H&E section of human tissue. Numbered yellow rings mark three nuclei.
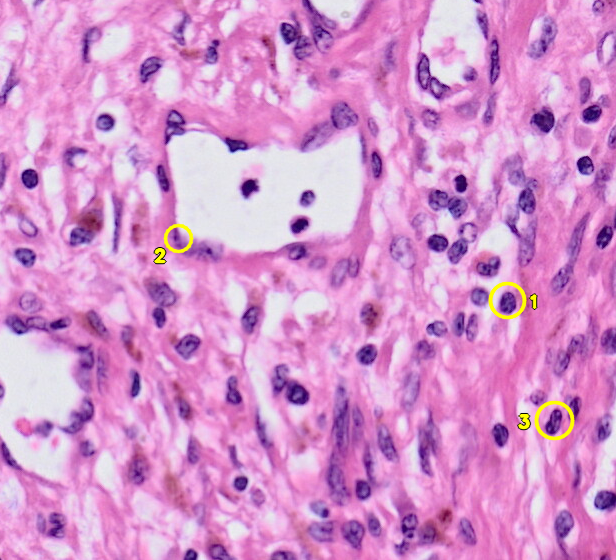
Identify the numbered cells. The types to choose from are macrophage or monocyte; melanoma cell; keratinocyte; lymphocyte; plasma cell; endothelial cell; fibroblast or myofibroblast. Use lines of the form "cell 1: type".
cell 1: lymphocyte
cell 2: endothelial cell
cell 3: lymphocyte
